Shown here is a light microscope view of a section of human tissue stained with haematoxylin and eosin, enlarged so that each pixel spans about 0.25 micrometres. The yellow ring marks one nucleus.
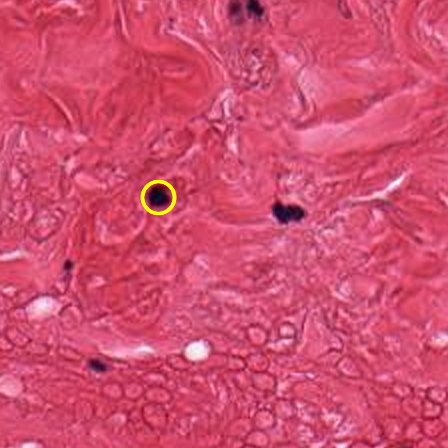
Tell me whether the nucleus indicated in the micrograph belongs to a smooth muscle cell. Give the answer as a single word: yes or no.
no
